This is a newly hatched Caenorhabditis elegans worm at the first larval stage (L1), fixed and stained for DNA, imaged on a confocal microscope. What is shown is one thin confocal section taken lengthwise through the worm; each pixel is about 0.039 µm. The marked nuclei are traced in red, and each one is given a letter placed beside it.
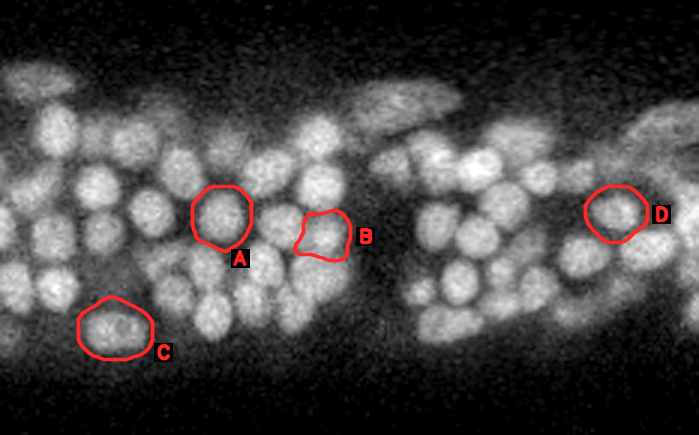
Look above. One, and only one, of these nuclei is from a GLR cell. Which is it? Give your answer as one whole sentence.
B is from a GLR cell.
